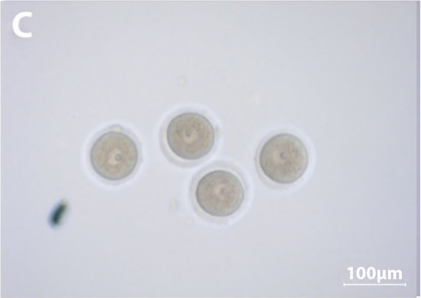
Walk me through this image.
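Four free oocytes lie close together on a plain background, each a large round cell set within a clear, even coat that forms a bright halo around it. The cytoplasm is pale beige and translucent, finely granular, so that structures inside the cell can be made out; a small rounded area sits near the middle of several cells. The cells are of similar size and smoothly round, and no surrounding layers of smaller cells are attached to them. A small dark particle of debris lies apart to the left.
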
